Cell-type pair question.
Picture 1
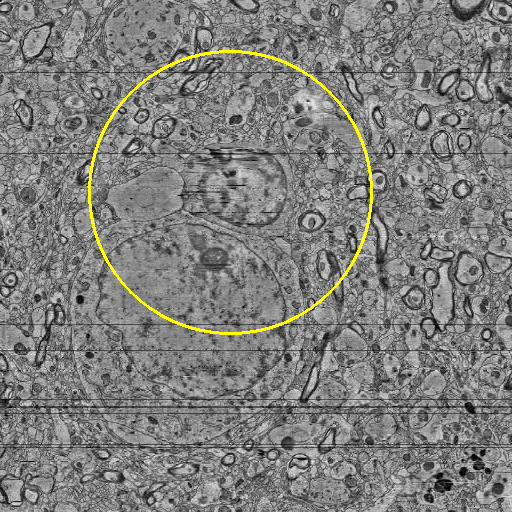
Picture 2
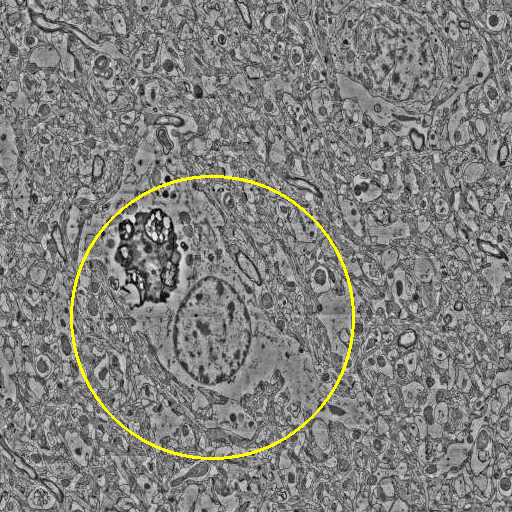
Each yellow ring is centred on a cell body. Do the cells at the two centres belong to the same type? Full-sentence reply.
No, the two cells belong to two types.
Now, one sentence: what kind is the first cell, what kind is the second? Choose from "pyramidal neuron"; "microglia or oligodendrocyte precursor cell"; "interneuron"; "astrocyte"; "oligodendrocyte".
The first picture has an oligodendrocyte at its ring centre, and the second has an astrocyte.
